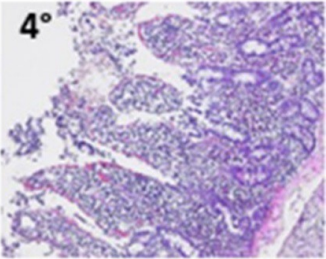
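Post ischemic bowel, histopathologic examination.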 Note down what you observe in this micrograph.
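This is intestinal mucosa in which the villi are badly damaged. The villus surfaces are ragged and the epithelial lining is broken, so the connective tissue cores lie exposed along much of their length. Fragments of detached tissue lie loose in the lumen beside the villi. Deeper in the mucosa, rounded gland profiles are still recognisable.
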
